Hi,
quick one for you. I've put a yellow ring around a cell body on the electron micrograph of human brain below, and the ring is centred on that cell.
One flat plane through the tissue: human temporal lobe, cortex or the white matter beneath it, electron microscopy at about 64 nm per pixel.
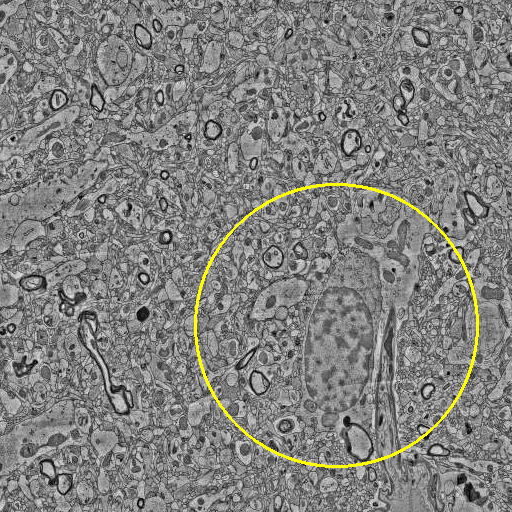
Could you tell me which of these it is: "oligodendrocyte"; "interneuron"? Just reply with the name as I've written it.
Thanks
oligodendrocyte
